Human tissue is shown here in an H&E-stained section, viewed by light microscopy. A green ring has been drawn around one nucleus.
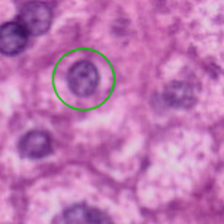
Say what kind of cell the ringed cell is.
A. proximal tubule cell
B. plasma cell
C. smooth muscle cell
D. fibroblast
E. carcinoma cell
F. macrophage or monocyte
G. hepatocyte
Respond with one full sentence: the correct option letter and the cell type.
Of the options offered, G is correct, as the ringed cell is a hepatocyte.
